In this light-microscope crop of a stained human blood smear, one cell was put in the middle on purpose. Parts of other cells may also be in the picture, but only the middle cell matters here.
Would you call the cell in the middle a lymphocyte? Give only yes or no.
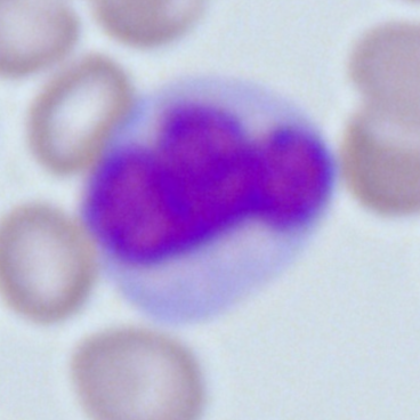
no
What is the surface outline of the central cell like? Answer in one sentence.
Edge check done: smooth outline, no projections present.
